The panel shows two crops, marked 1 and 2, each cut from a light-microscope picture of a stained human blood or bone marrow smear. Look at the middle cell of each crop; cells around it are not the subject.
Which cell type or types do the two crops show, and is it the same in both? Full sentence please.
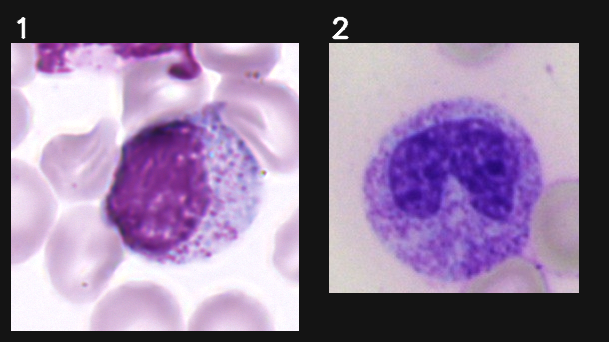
No, a metamyelocyte is in crop 1, while a band neutrophil is in crop 2.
